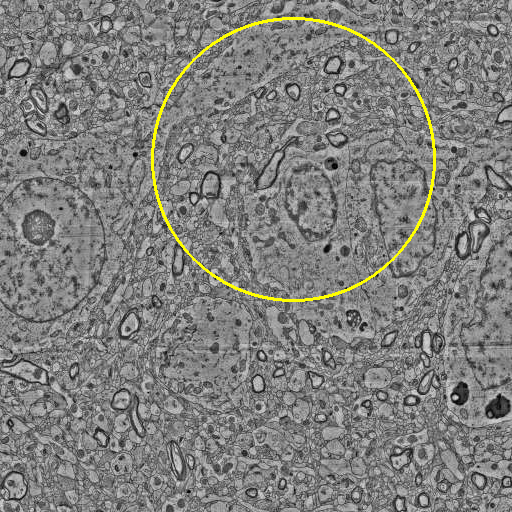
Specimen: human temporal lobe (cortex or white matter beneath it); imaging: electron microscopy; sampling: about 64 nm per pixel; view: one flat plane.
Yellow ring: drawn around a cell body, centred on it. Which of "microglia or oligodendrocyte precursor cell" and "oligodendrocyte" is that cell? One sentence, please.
That cell body is from a microglial cell or oligodendrocyte precursor cell.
